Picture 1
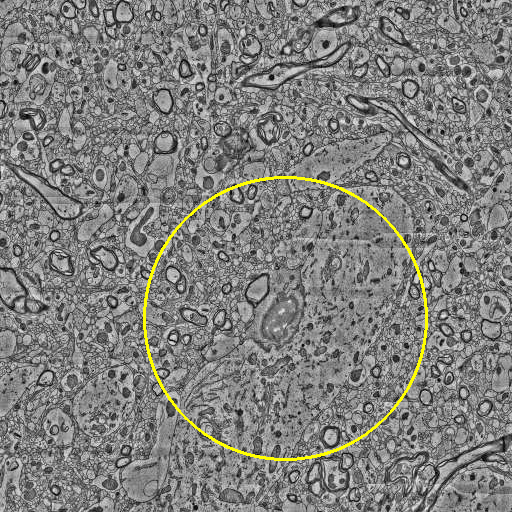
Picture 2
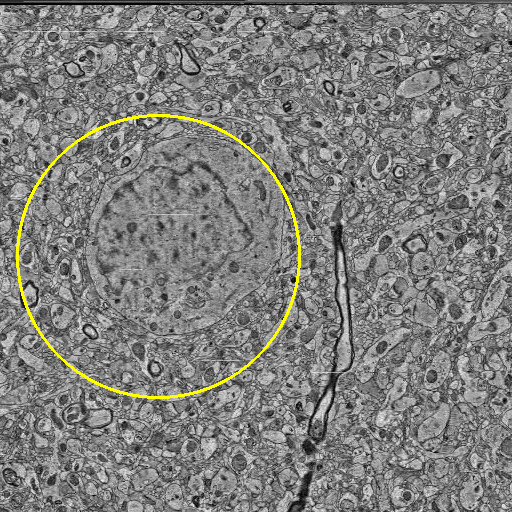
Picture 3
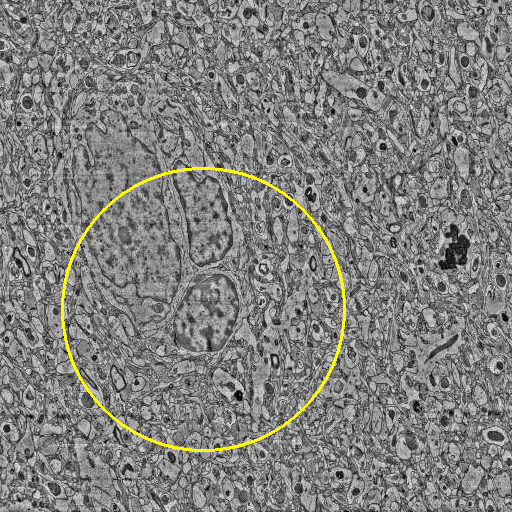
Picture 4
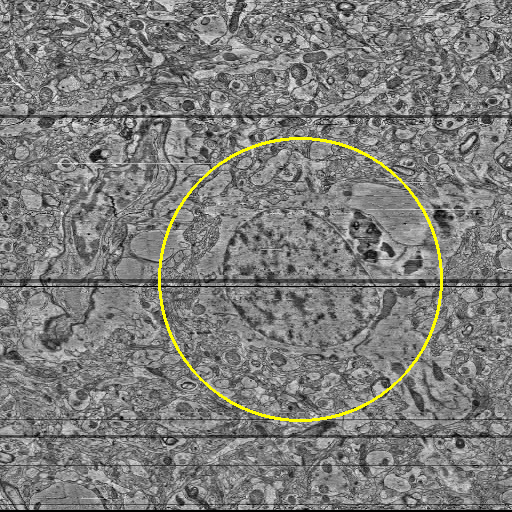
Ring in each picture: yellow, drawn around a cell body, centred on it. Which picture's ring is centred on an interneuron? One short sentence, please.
Picture 2 is the one.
